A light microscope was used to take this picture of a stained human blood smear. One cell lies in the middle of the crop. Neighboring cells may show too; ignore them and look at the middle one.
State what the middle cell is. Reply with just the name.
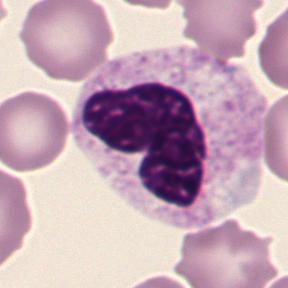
segmented neutrophil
